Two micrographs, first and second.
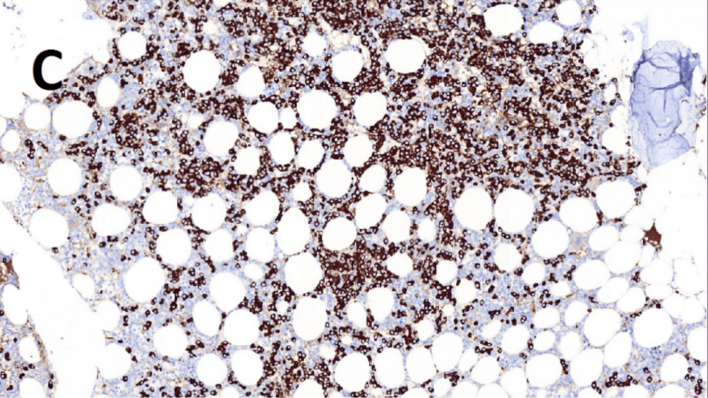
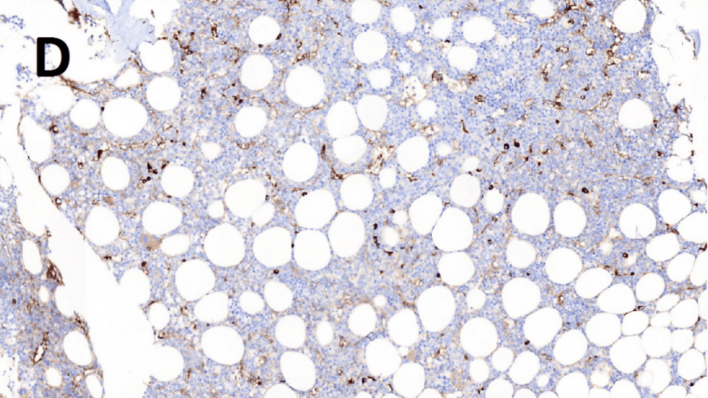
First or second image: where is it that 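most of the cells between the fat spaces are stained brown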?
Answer: the first image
